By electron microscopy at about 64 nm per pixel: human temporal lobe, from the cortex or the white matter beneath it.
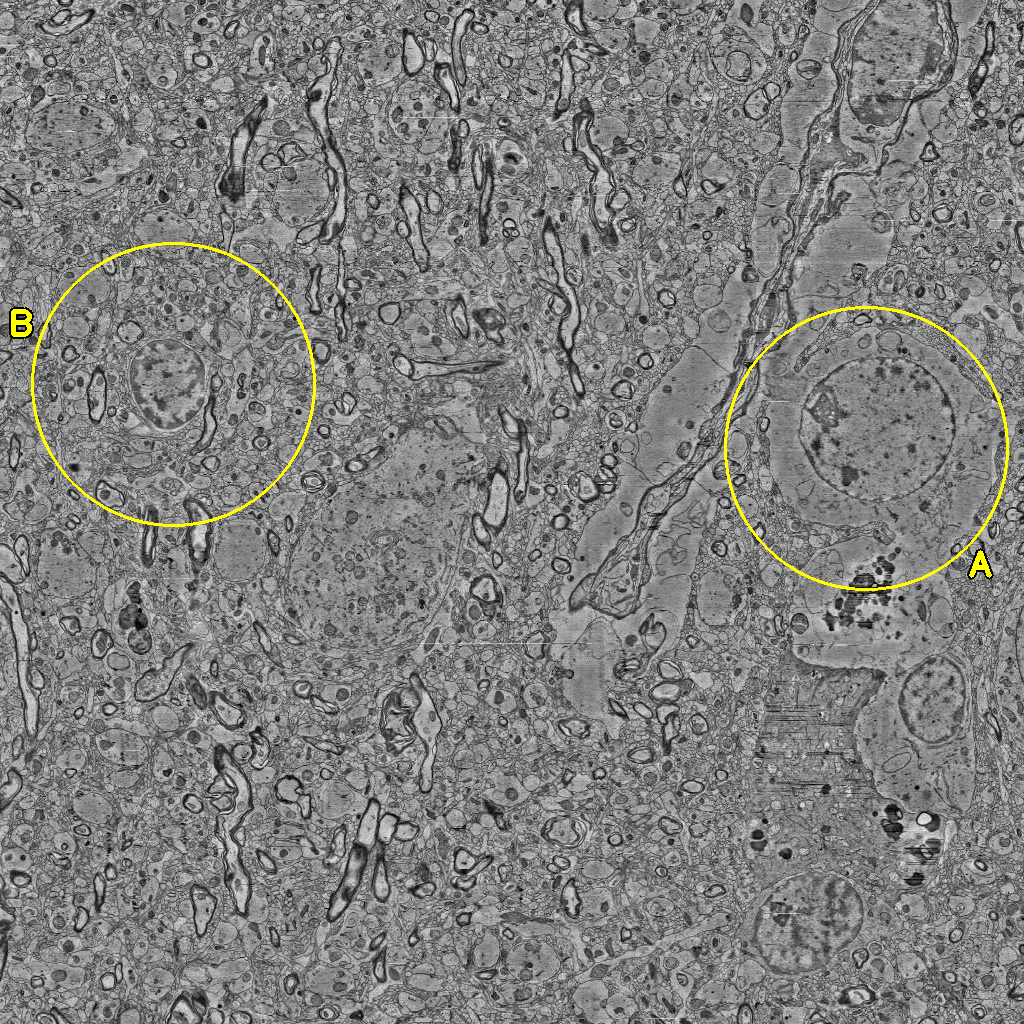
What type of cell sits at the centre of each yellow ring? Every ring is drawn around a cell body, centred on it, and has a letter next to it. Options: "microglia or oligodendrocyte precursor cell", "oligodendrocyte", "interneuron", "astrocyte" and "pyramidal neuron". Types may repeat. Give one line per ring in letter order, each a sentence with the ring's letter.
Ring A has an astrocyte at its centre.
Ring B has a microglial cell or oligodendrocyte precursor cell at its centre.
